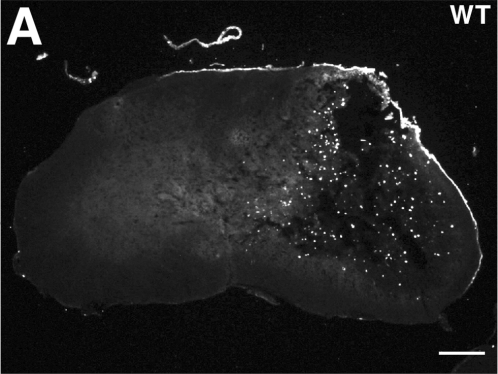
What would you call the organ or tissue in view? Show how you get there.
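A transverse section with an oval outline. On this evidence: spinal cord.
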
